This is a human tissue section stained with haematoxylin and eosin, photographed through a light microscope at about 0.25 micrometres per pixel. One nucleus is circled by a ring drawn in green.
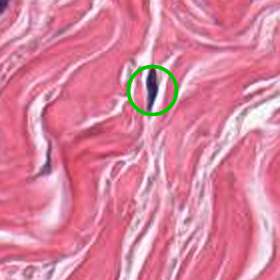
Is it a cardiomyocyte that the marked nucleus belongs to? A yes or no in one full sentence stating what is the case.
No, the marked nucleus is found in a supporting cell instead of in a cardiomyocyte.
